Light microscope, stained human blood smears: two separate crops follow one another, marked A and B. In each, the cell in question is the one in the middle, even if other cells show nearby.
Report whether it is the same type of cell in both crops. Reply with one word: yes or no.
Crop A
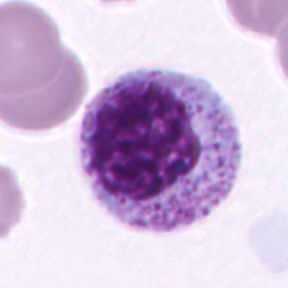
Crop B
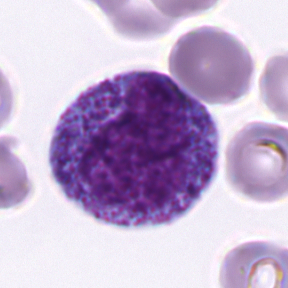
no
